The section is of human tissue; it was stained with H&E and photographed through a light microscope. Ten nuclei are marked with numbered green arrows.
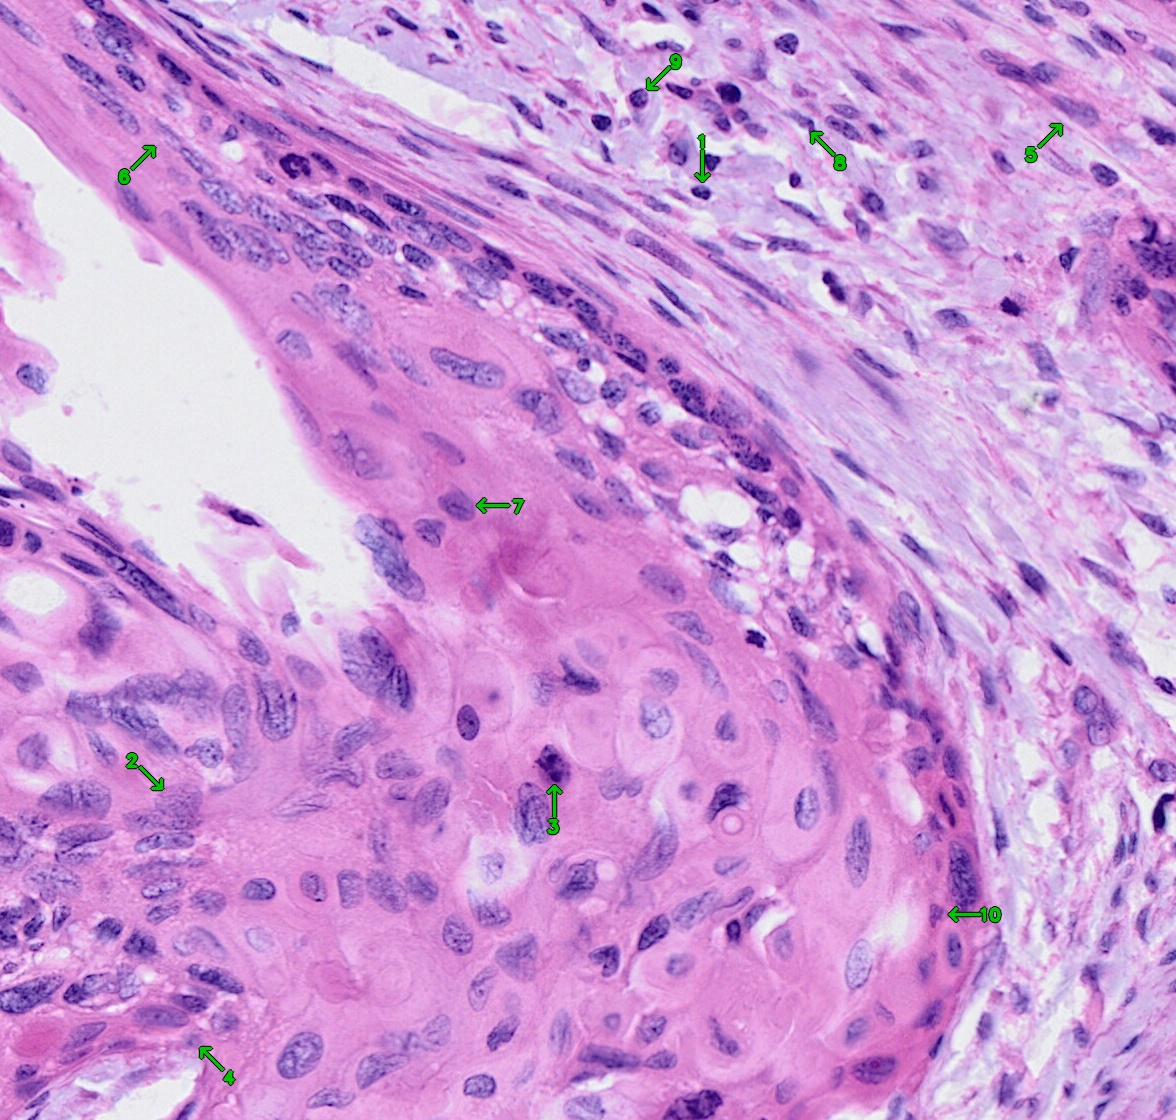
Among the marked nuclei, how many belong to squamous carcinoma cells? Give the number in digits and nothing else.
6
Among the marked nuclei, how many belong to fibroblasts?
1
